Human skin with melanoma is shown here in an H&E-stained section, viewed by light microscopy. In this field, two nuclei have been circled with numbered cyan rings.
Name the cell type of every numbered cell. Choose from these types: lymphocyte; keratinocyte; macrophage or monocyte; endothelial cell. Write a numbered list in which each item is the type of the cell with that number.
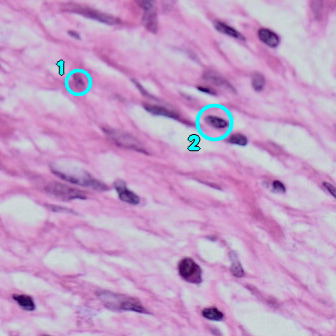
1. macrophage or monocyte
2. lymphocyte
